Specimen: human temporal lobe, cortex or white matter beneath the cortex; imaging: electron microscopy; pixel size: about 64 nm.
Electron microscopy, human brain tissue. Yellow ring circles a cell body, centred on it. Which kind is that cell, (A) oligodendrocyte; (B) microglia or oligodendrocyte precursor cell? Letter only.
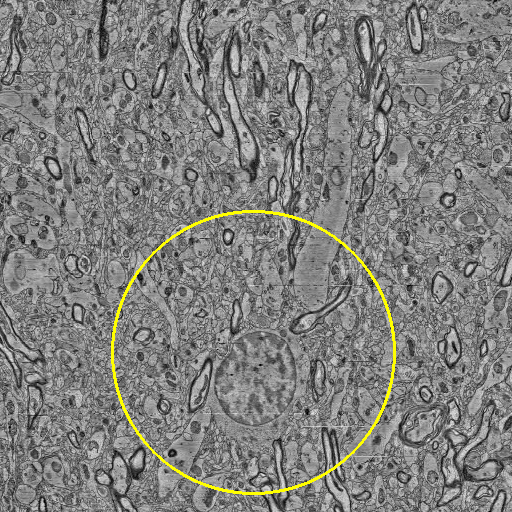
A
